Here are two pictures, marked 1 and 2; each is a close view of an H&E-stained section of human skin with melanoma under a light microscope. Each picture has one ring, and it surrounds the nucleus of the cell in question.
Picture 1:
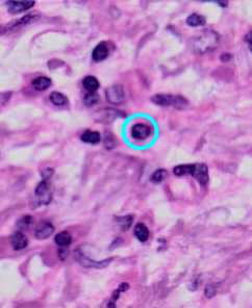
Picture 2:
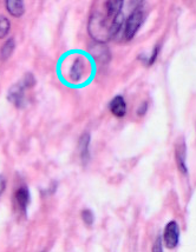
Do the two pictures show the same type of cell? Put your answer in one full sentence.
No, they differ: the cell is a plasma cell in picture 1 and a lymphocyte in picture 2.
